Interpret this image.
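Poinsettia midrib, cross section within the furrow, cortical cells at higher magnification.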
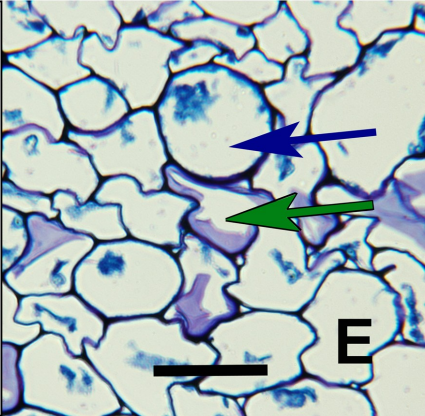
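Unlike smoothly rounded cells, many here have wavy, irregular outlines with walls folded inward, giving them indented shapes. Some cells keep a rounded outline, while purple-stained cells lie squeezed between them. The walls appear dark and crumpled in places.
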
